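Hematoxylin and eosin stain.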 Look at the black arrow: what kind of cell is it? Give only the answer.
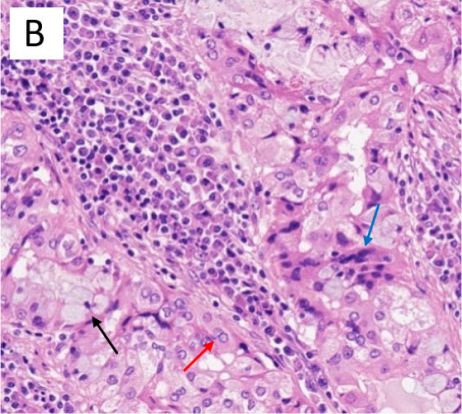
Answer: Mucocytes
